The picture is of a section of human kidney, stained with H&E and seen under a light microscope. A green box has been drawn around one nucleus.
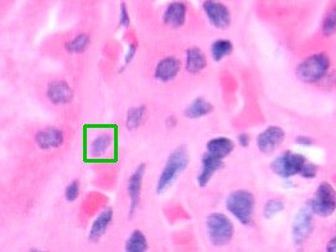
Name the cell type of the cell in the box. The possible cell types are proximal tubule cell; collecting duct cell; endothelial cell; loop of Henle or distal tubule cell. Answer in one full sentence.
Considered by cell type, the cell in the box is an endothelial cell.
